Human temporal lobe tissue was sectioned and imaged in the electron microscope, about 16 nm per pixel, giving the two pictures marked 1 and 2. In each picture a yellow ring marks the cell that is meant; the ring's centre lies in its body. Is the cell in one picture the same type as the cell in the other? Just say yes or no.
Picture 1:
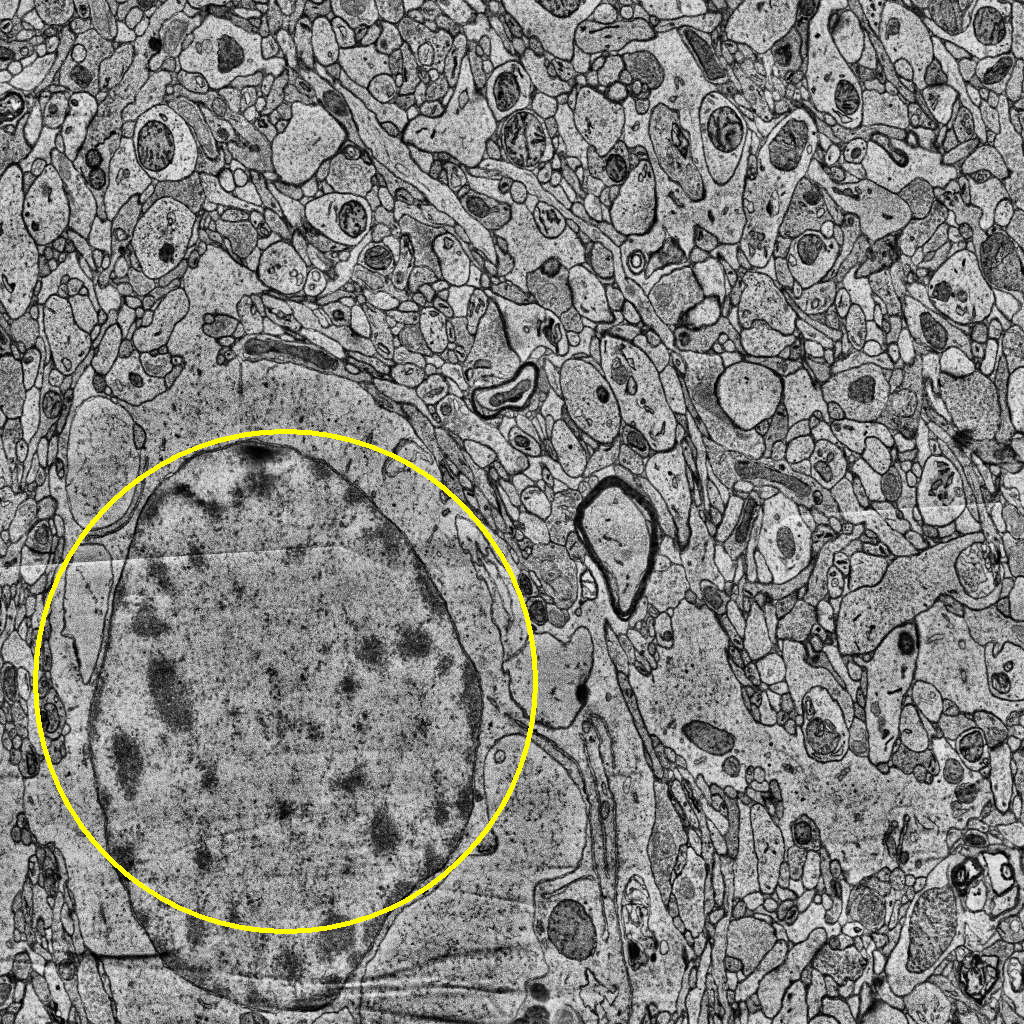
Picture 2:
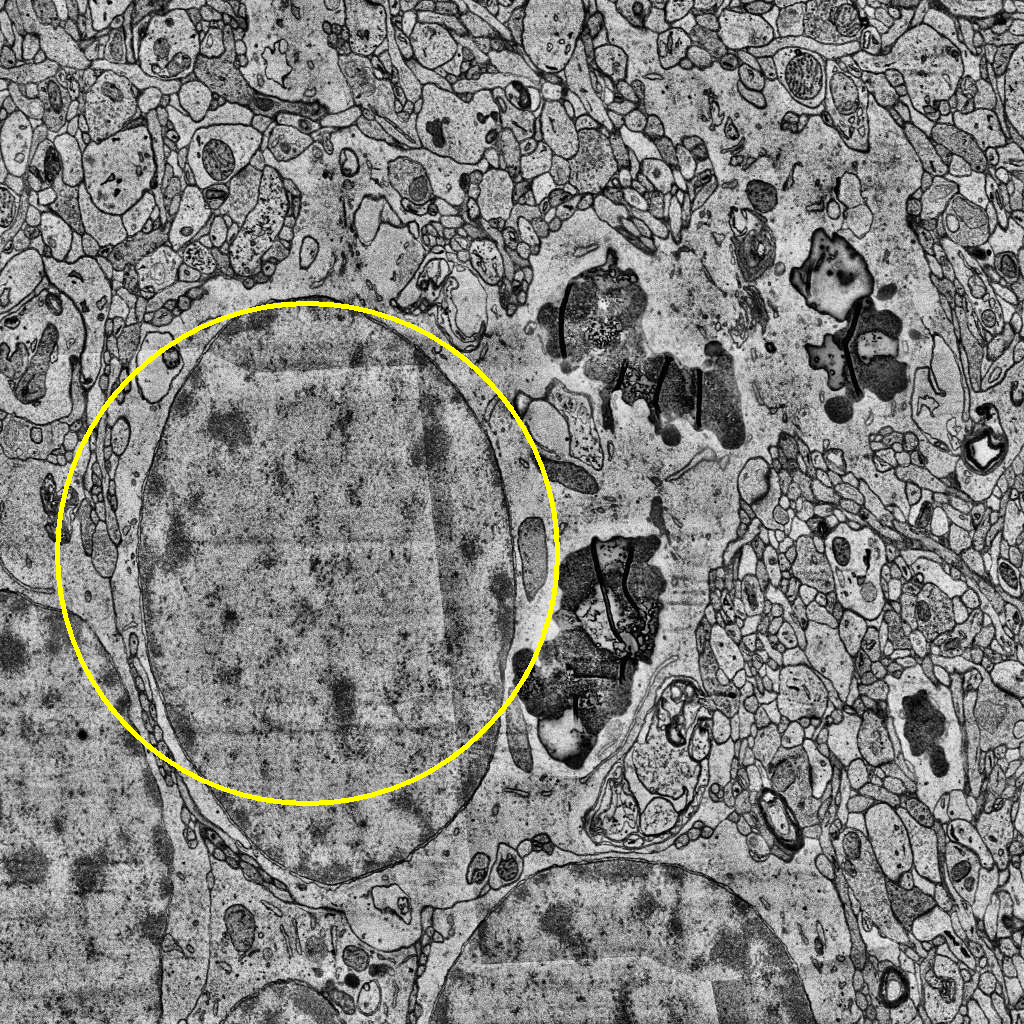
yes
